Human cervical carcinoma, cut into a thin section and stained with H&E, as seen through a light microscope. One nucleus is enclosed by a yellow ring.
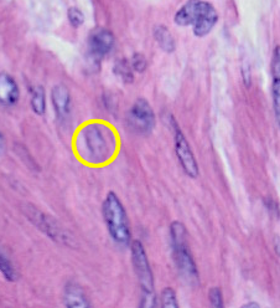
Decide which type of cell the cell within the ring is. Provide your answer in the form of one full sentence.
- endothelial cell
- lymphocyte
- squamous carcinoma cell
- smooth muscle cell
It is as a smooth muscle cell that the cell within the ring is classified.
